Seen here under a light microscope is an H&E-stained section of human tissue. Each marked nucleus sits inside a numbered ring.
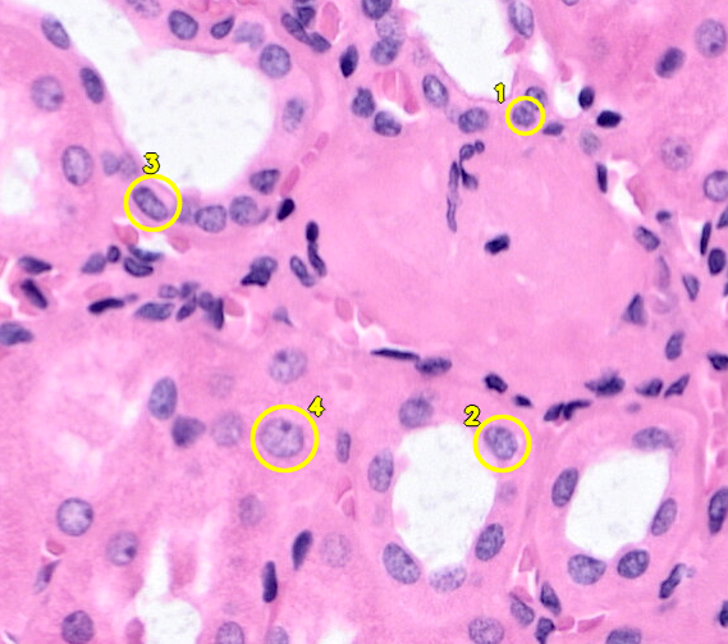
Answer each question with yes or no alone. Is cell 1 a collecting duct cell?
yes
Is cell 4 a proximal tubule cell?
yes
